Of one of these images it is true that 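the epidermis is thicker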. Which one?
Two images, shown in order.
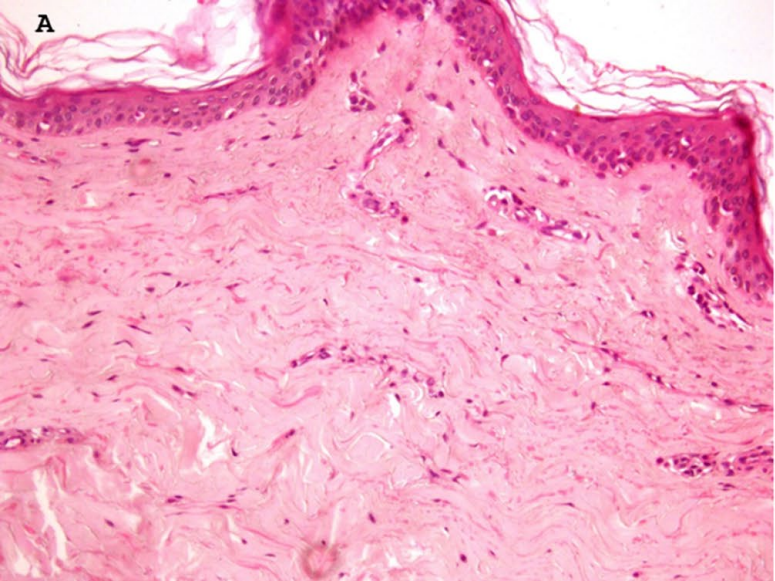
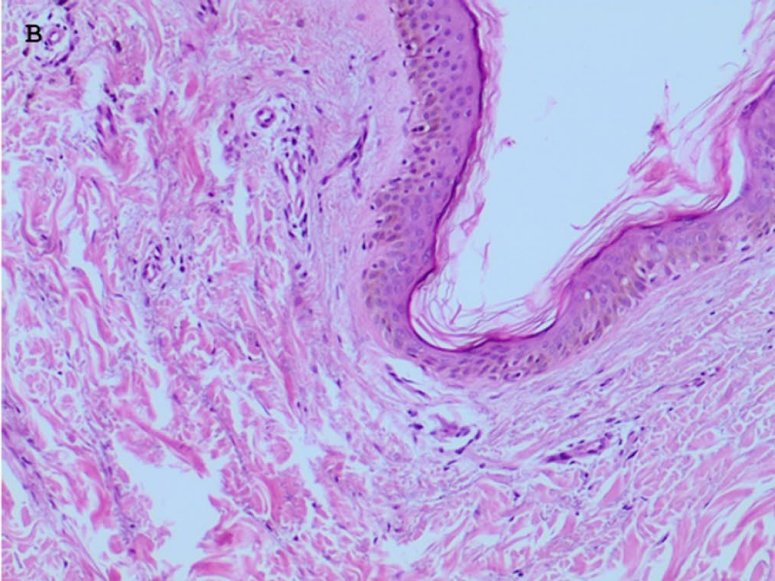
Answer: the second image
